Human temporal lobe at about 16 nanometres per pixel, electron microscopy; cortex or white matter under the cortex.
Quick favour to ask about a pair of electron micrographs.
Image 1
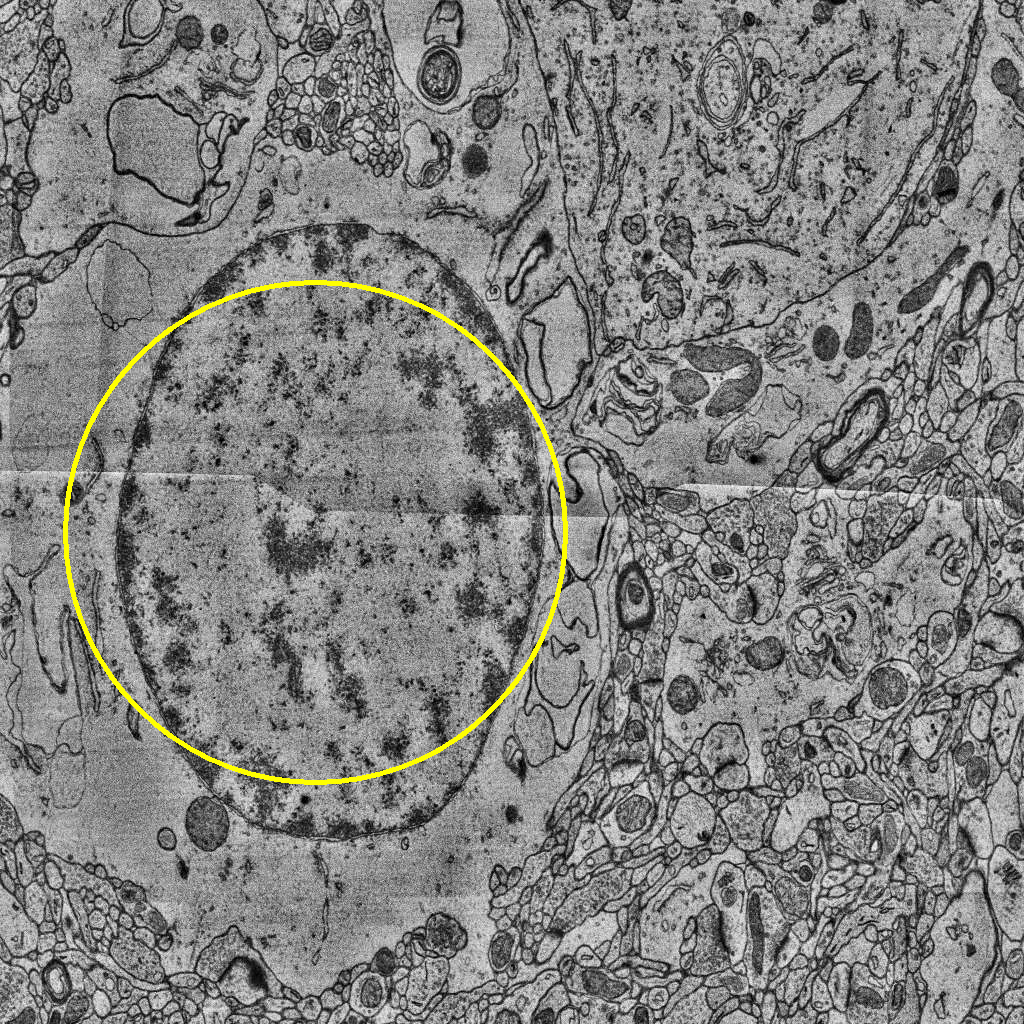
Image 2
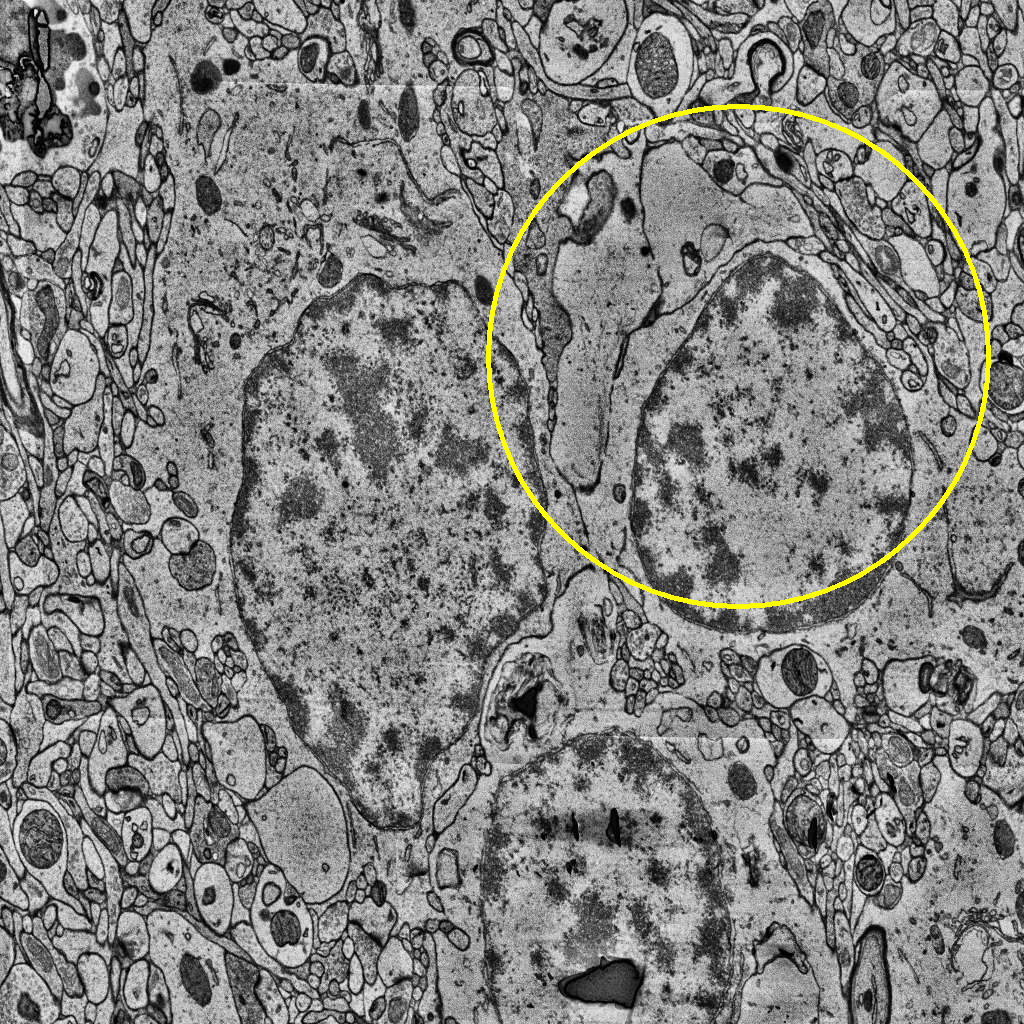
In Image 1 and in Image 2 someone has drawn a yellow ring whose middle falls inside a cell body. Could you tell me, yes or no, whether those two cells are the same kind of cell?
yes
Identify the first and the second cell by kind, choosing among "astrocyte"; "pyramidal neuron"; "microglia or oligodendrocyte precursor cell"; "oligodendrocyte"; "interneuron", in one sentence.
Both rings mark an astrocyte, one in each picture.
